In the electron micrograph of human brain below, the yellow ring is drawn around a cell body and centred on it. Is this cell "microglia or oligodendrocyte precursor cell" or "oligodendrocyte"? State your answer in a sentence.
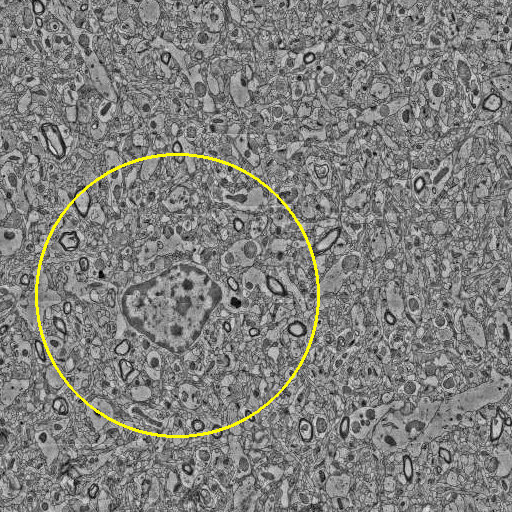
The cell in the middle of the ring is a microglial cell or oligodendrocyte precursor cell.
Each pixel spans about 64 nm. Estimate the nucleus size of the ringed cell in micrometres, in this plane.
The nucleus comes to roughly 6 micrometres across in this plane.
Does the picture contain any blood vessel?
No, the image shows no blood vessel.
